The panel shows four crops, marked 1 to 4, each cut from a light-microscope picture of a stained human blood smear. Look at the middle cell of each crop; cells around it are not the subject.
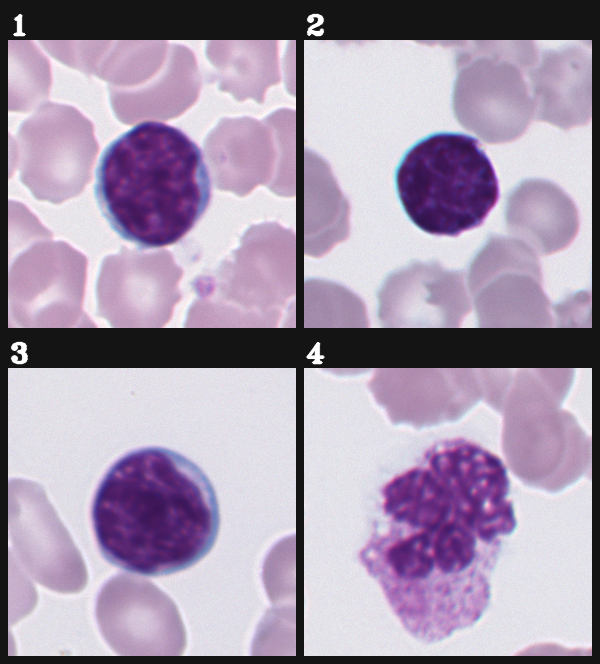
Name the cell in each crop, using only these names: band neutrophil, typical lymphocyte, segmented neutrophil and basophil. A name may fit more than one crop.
1: typical lymphocyte
2: typical lymphocyte
3: typical lymphocyte
4: segmented neutrophil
